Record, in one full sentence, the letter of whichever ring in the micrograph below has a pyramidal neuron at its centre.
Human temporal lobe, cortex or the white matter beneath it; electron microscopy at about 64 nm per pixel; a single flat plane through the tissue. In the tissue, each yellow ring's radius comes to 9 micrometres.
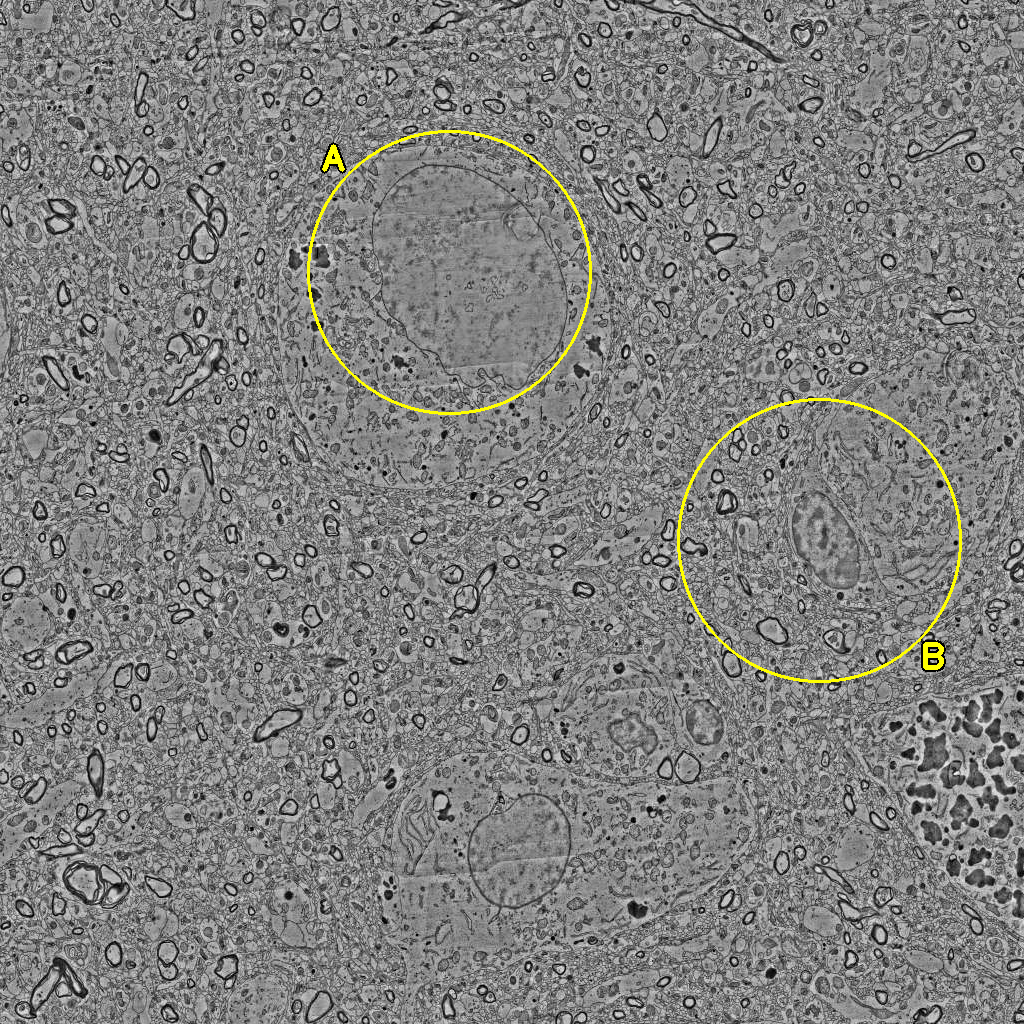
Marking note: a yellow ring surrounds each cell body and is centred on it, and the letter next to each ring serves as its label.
For the cell asked for, the ring centred on it carries the letter A.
